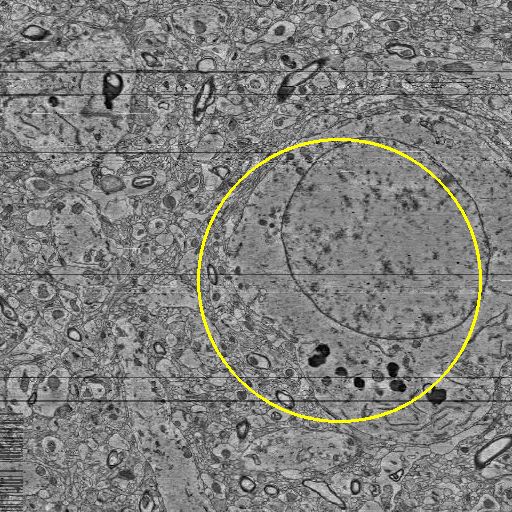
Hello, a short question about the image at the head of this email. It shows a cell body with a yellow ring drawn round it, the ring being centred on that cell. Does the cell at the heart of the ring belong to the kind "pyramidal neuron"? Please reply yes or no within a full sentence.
Yes, the cell at the heart of the ring in that image is of that kind.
